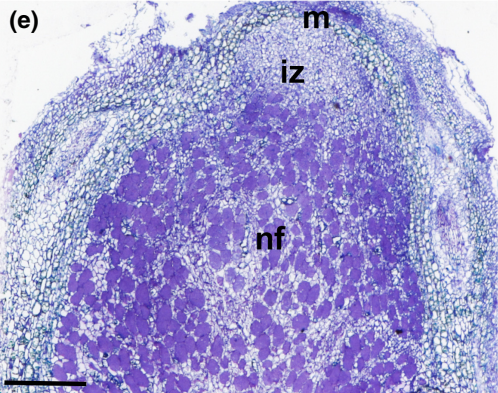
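At the rounded tip lies a meristem of small, densely packed cells. Below it is a band of pale, lightly stained cells, the invasion zone. The central tissue is enclosed by several layers of pale, rather empty-looking cortical cells with blue-green cell walls that run along the sides of the nodule.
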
